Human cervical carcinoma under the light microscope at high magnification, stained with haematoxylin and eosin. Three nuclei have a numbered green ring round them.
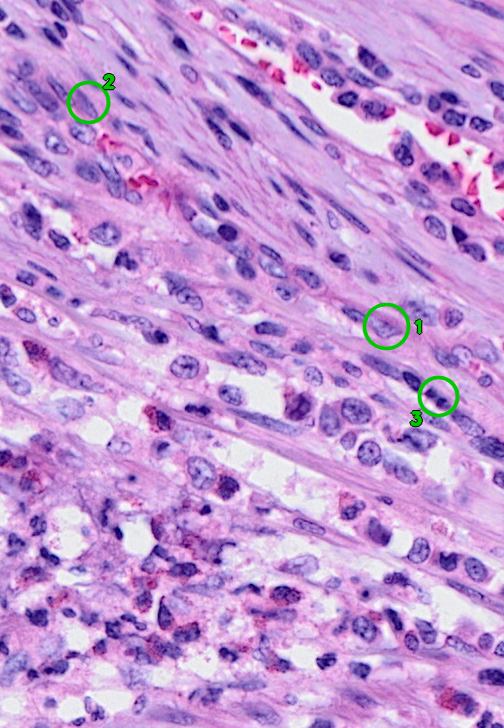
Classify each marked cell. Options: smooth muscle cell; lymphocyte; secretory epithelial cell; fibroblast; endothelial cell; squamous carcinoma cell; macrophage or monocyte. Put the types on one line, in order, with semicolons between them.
endothelial cell; endothelial cell; lymphocyte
